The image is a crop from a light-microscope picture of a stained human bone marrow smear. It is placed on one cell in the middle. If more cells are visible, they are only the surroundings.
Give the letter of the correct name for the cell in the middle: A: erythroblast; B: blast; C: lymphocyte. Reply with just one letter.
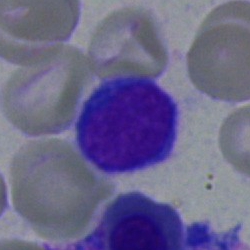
C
